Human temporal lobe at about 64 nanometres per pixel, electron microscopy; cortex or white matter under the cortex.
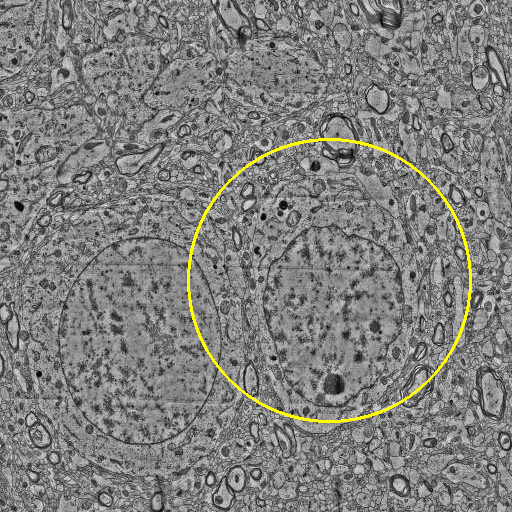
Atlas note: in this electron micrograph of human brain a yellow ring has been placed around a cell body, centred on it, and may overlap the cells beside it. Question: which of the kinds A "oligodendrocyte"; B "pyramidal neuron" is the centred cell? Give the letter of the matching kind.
B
